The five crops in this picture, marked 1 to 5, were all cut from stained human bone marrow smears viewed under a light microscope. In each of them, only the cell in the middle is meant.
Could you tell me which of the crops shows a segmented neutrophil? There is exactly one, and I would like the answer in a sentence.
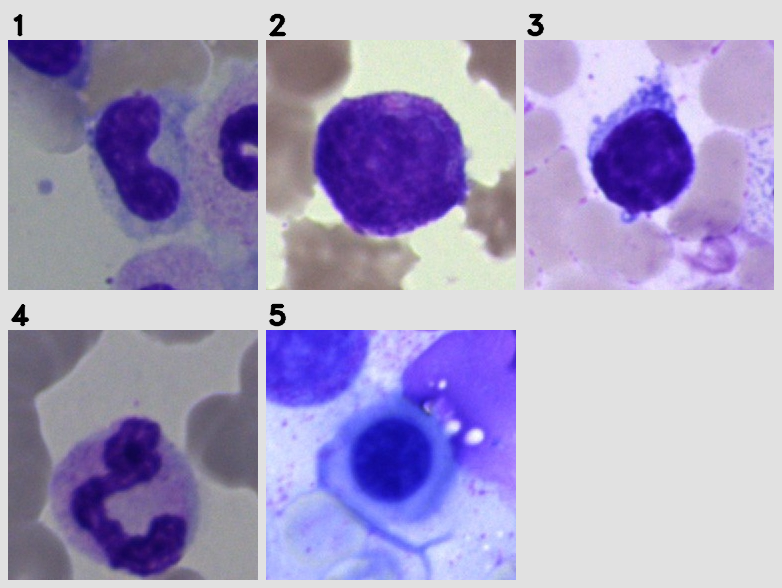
The crop with a segmented neutrophil at its center is crop 4.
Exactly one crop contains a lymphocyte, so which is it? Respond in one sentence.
Crop 3 is the one in this set that shows a lymphocyte.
